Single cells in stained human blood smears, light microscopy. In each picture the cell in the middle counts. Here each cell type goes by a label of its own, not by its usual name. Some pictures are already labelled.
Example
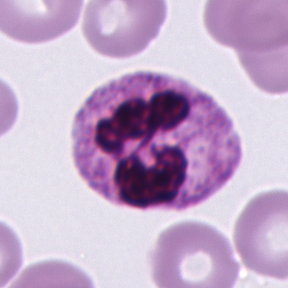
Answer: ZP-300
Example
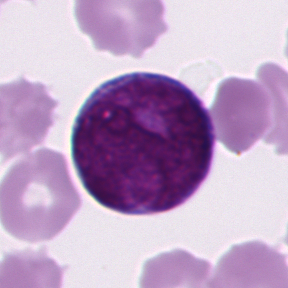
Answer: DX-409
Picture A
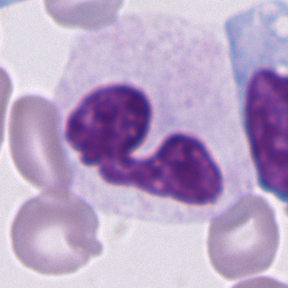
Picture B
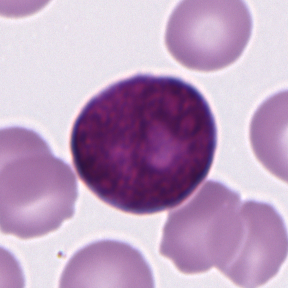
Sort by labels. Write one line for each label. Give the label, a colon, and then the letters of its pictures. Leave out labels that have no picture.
ZP-300: A
DX-409: B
